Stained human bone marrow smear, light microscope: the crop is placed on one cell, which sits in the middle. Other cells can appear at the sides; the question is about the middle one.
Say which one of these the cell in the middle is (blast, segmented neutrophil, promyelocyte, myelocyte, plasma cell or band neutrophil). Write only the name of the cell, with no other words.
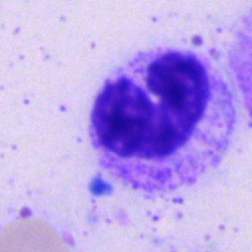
band neutrophil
